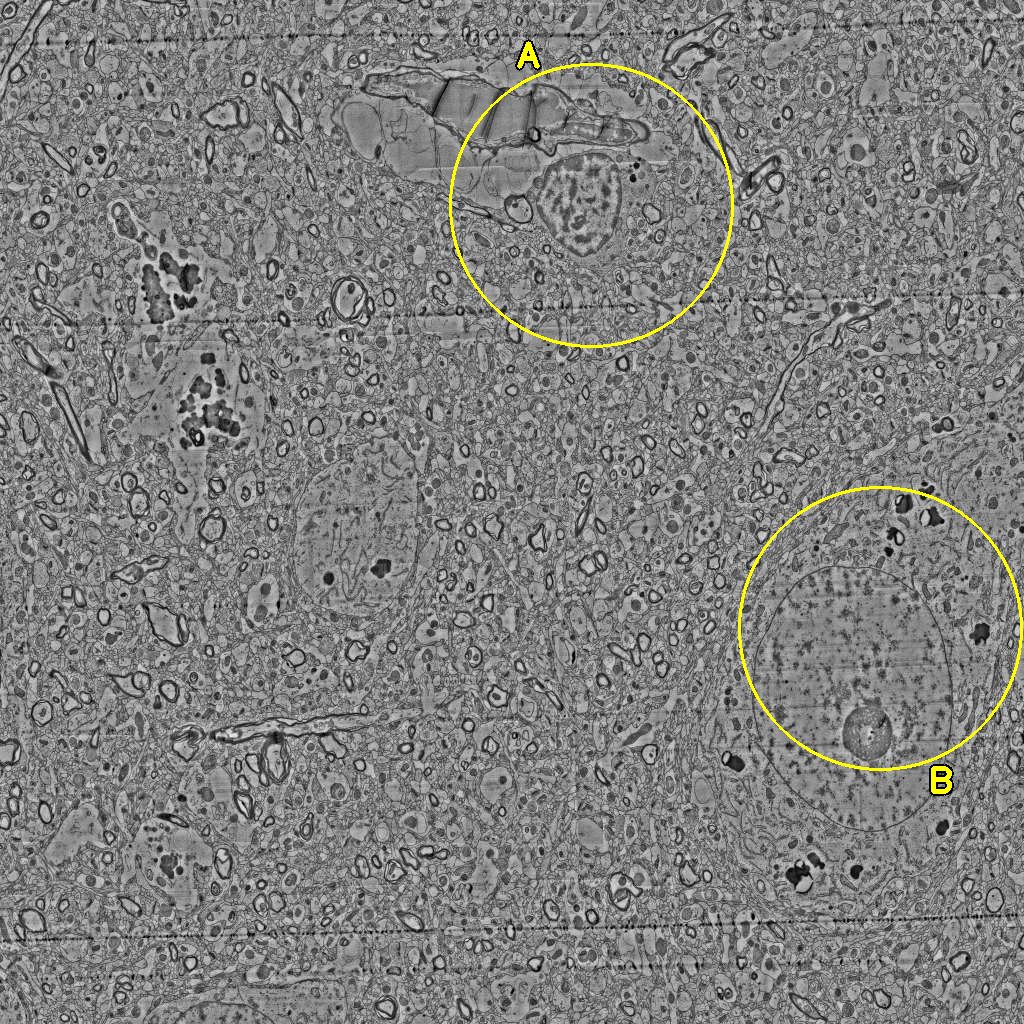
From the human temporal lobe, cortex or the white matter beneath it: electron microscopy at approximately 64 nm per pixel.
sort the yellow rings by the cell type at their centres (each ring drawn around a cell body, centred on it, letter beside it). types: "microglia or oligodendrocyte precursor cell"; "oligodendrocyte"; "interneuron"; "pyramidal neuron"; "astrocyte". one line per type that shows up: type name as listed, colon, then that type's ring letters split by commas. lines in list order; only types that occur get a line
oligodendrocyte: A
pyramidal neuron: B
